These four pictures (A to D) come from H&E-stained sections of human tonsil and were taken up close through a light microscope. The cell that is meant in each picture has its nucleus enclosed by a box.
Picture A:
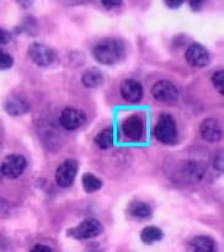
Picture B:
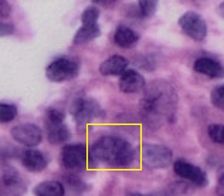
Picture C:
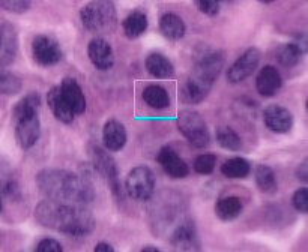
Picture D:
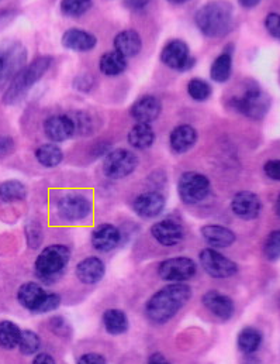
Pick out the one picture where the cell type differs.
B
